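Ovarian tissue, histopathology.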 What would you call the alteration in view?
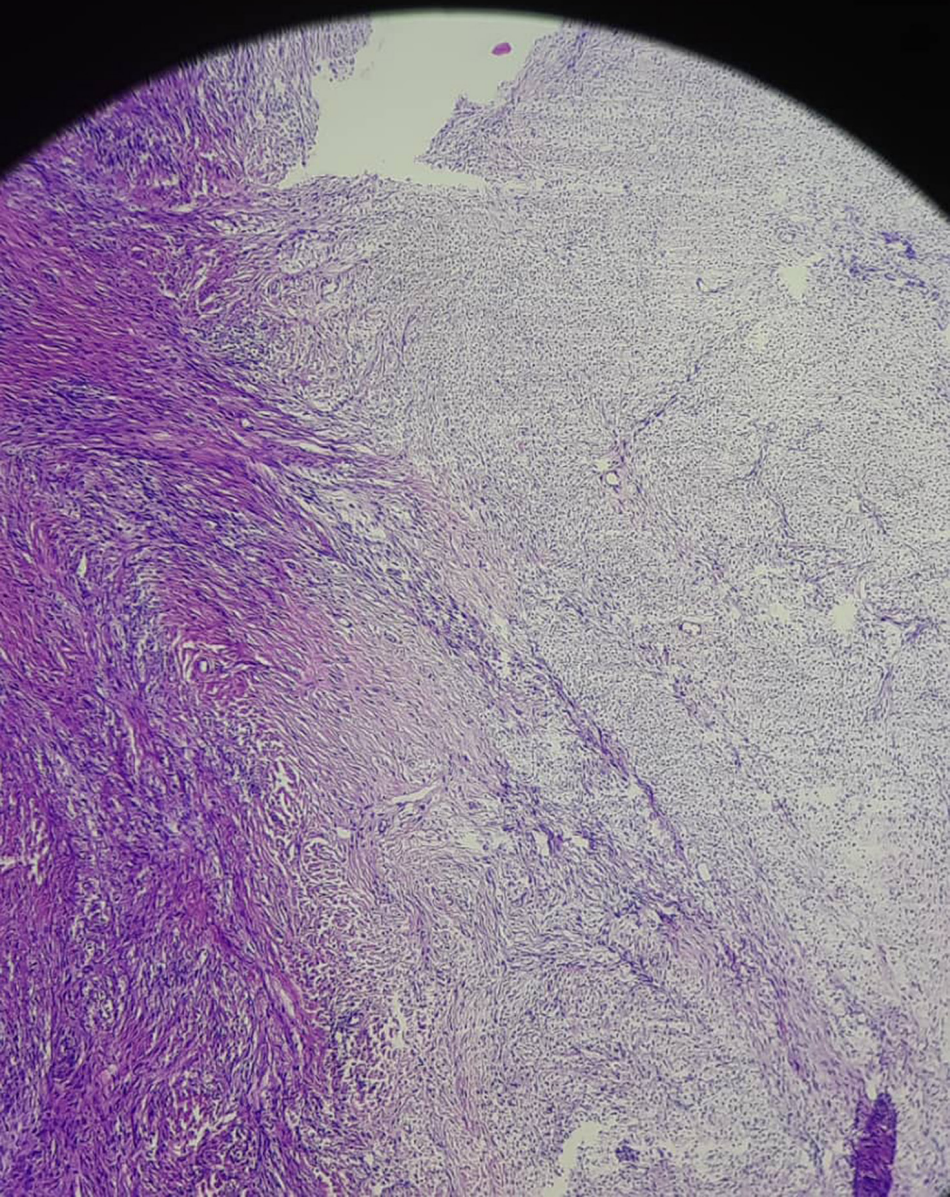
Well‐demarcated diffuse proliferation of cells with ovoid to round nuclei and pale cytoplasm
